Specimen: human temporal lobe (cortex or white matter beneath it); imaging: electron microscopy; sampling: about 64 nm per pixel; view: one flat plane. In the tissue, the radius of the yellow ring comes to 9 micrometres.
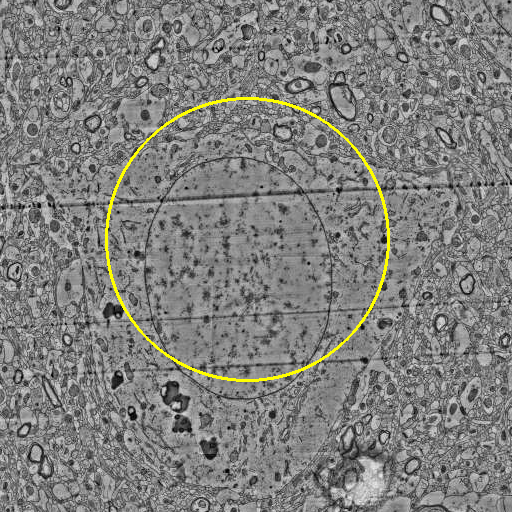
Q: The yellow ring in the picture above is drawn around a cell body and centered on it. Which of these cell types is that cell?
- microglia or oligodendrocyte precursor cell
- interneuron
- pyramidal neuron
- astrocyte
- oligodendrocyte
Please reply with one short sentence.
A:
The cell body at the ring's center belongs to a pyramidal neuron.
